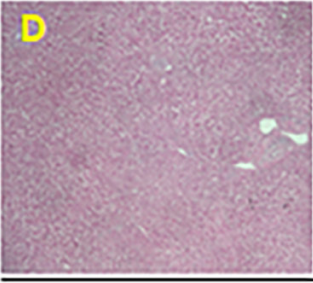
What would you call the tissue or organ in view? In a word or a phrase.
liver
